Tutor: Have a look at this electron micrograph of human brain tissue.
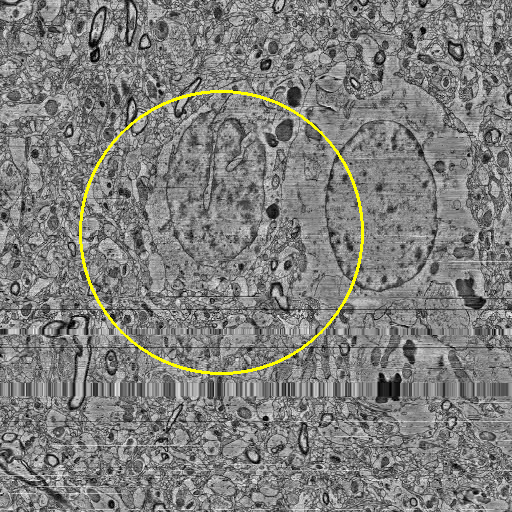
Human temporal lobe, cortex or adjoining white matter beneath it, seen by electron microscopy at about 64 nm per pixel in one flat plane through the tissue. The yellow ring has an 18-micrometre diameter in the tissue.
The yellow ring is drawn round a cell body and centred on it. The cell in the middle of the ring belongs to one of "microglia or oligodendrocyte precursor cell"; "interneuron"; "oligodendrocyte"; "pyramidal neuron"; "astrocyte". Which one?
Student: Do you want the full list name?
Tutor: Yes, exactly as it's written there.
interneuron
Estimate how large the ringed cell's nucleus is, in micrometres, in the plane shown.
Roughly 10 by 6 micrometers, clearly longer than it is wide in this plane.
